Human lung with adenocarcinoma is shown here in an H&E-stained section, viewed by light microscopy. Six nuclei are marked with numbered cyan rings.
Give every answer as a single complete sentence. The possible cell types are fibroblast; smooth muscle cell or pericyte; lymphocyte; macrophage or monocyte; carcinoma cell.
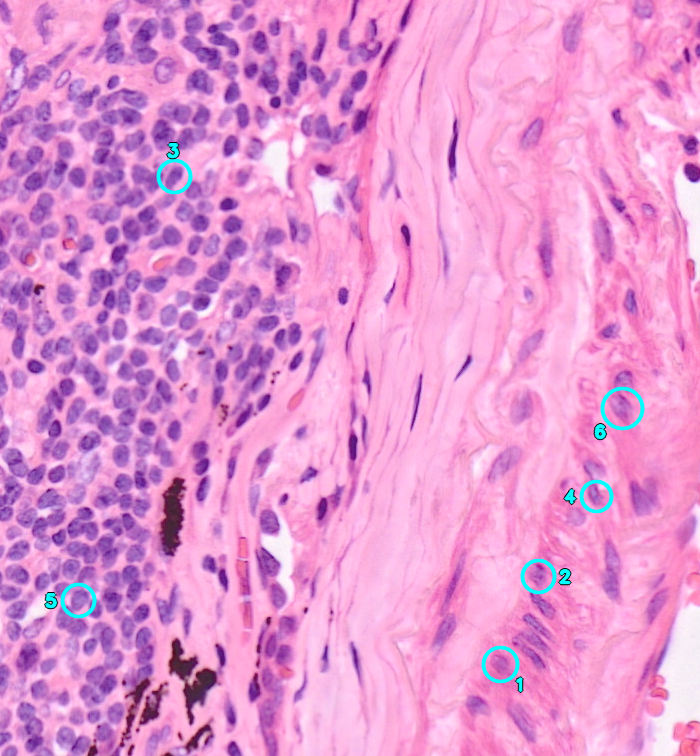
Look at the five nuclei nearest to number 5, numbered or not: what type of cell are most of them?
Lymphocytes account for more than half of the five nuclei nearest to number 5.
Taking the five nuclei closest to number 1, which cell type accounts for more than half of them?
Most of the five nuclei nearest to number 1 are those of smooth muscle cells or pericytes.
